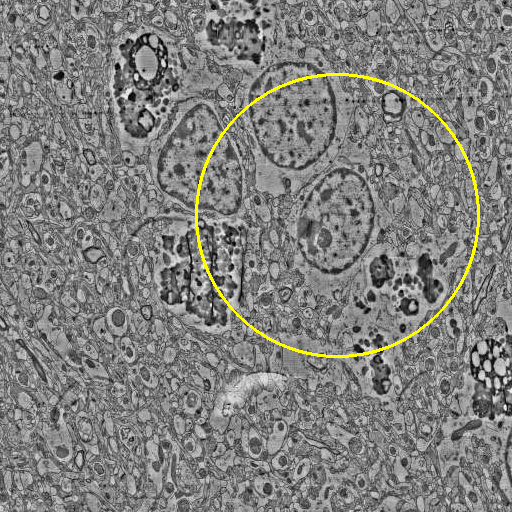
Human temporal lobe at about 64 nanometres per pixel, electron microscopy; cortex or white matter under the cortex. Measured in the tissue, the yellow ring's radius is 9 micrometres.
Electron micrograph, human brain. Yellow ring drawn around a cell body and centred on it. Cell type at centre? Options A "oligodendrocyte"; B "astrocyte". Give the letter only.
B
